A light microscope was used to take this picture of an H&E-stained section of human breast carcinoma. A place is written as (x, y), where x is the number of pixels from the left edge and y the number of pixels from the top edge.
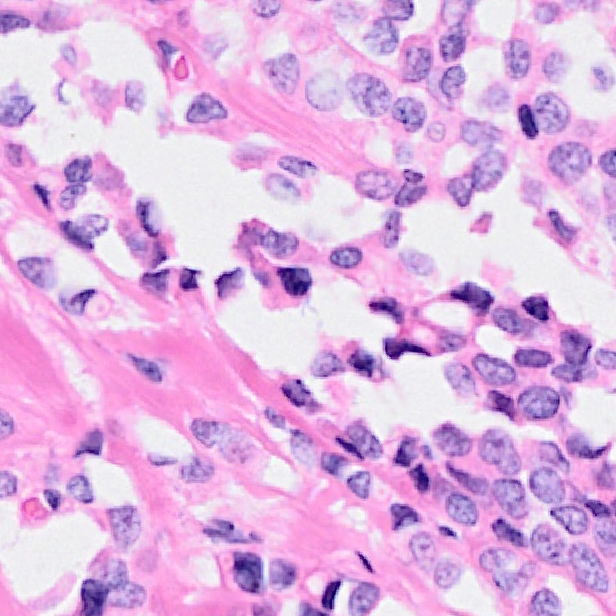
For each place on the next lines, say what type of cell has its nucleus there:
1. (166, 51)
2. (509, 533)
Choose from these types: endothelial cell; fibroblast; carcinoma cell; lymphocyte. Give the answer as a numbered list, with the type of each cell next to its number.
1. endothelial cell
2. carcinoma cell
